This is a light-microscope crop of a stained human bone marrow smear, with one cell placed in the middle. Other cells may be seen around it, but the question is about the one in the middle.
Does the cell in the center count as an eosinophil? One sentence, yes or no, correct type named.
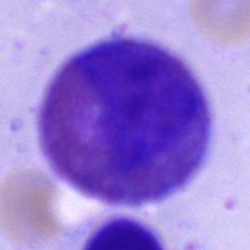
Yes, the cell occupying the center is an eosinophil.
